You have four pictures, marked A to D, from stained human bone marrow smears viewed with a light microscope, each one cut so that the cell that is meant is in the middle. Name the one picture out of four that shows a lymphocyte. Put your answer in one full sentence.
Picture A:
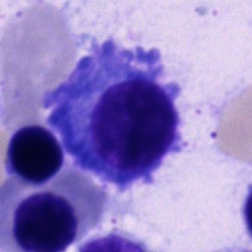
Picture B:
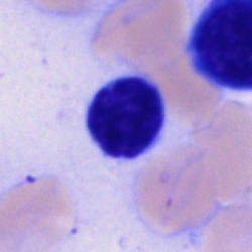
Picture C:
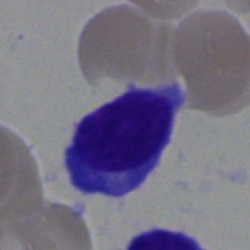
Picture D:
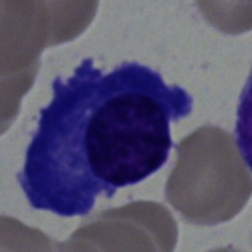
Picture B shows the lymphocyte.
